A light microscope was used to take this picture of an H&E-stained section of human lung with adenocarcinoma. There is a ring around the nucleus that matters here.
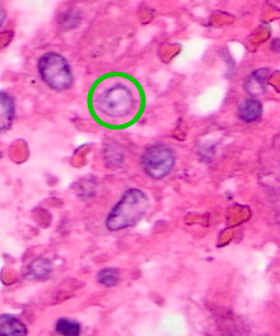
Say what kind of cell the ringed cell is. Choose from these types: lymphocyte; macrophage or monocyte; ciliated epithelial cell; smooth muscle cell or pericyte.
macrophage or monocyte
